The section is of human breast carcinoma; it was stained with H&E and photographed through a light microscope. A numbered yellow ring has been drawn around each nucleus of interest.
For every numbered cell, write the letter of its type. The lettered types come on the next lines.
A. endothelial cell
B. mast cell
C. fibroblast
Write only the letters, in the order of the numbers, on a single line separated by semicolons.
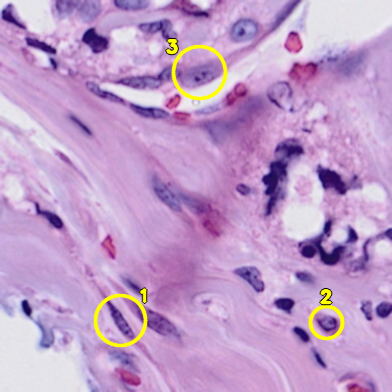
C; B; A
